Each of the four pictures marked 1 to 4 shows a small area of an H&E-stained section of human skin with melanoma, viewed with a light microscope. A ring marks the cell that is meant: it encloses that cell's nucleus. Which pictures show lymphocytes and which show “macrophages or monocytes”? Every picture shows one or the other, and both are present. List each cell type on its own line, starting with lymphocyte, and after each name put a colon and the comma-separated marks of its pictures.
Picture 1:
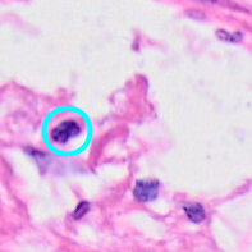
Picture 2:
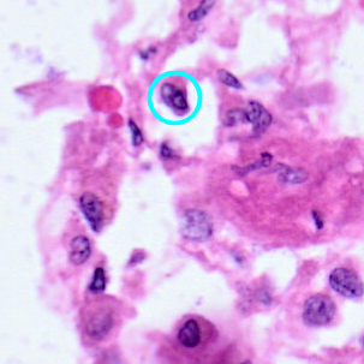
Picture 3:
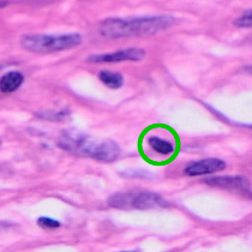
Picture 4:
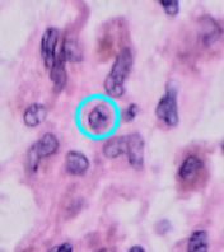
lymphocyte: 1, 3, 4
macrophage or monocyte: 2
